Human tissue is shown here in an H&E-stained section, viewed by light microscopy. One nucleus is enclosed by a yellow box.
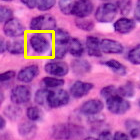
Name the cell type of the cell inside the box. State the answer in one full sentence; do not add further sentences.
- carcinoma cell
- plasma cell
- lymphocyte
The classification of the cell inside the box is as a lymphocyte.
